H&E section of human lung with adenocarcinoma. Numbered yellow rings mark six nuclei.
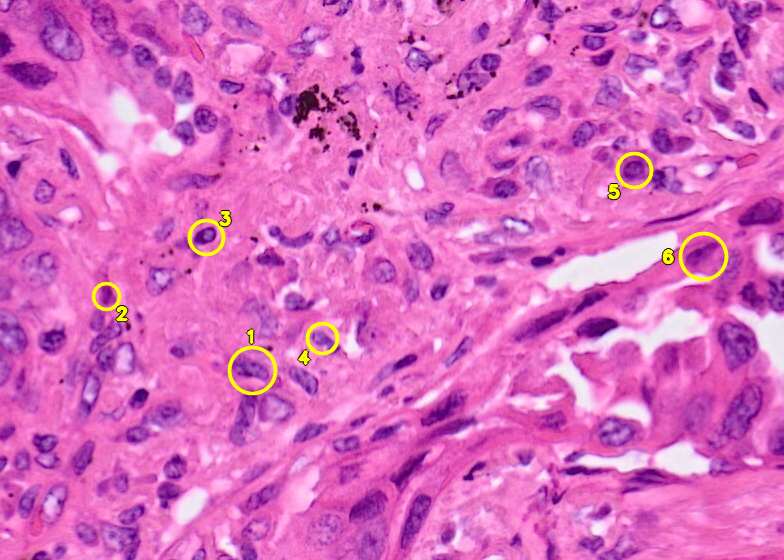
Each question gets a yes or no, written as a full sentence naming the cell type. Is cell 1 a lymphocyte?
No, the marker 1 sits on a plasma cell, not on a lymphocyte.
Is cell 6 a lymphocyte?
No, the correct answer for cell 6 is a carcinoma cell, not a lymphocyte.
